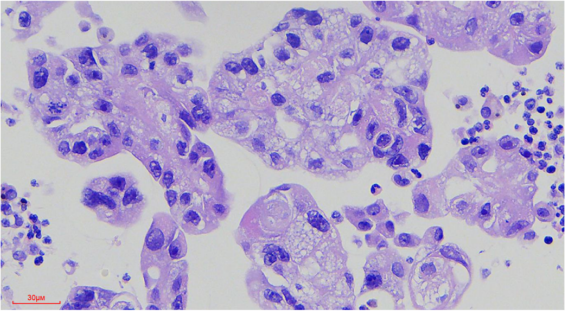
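Large sheets and clusters of tumor cells fill most of the field, with small dark round cells crowded at the right edge. The tumor cells have abundant cytoplasm that is pale and foamy, full of clear vacuoles, in some cells and more evenly pink in others. Their nuclei are large, round to oval, mostly placed at the edge of the cell groups, with visible nucleoli in some. Some clusters are elongated and curved, others rounded. The cell borders are partly distinct, and the size of the nuclei varies from cell to cell.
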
